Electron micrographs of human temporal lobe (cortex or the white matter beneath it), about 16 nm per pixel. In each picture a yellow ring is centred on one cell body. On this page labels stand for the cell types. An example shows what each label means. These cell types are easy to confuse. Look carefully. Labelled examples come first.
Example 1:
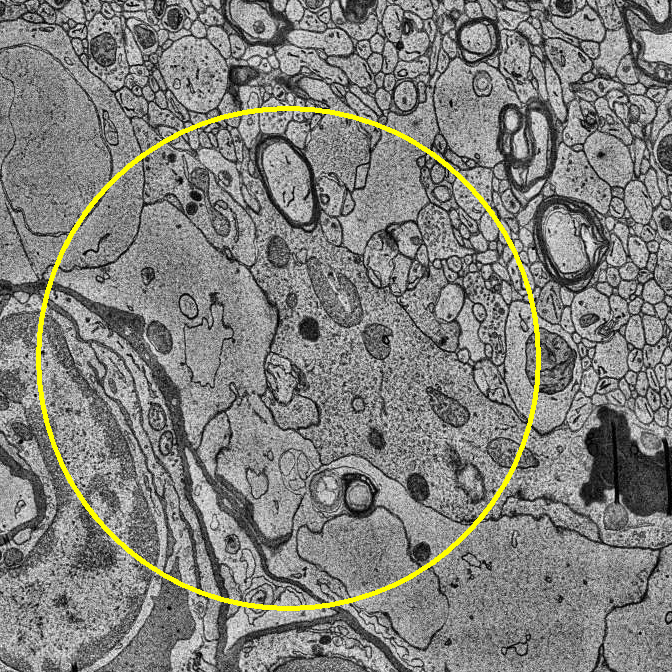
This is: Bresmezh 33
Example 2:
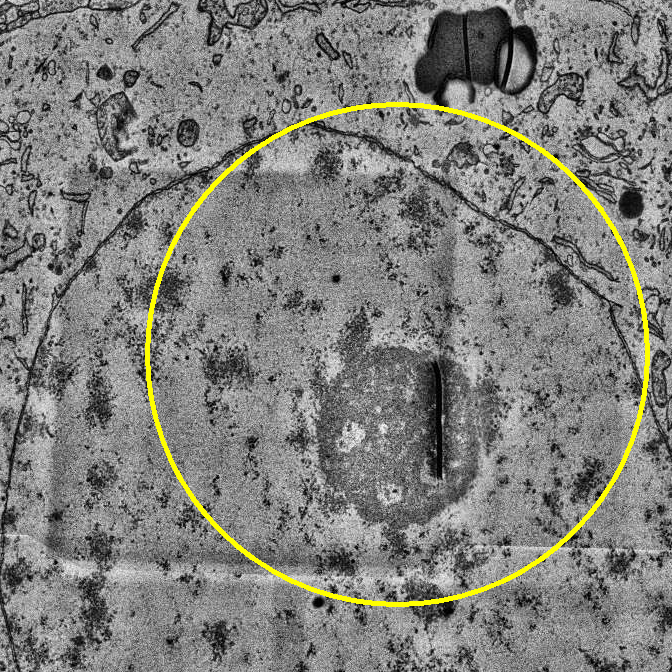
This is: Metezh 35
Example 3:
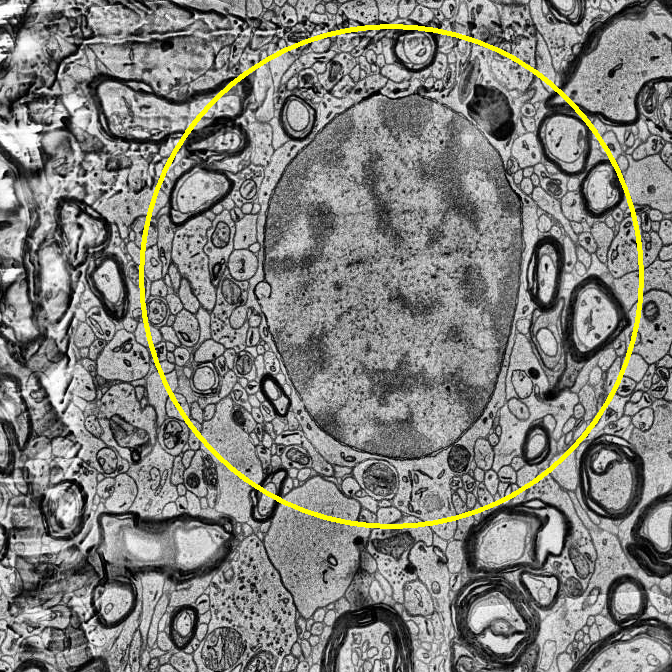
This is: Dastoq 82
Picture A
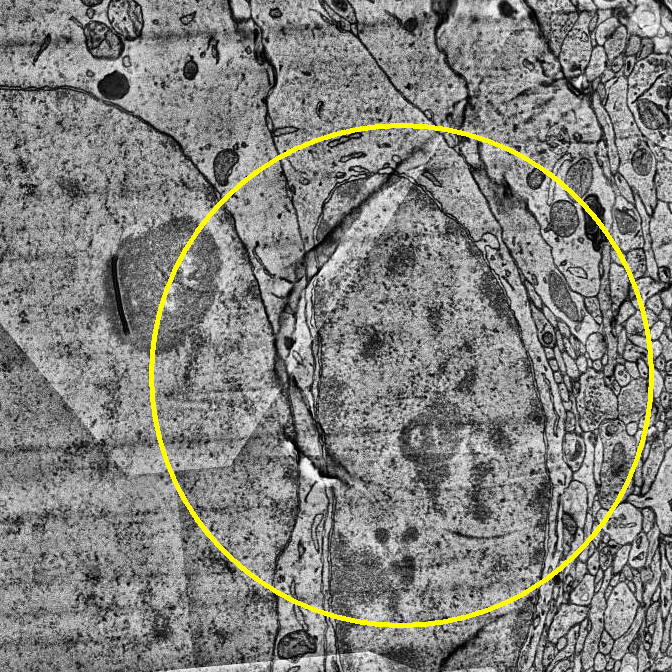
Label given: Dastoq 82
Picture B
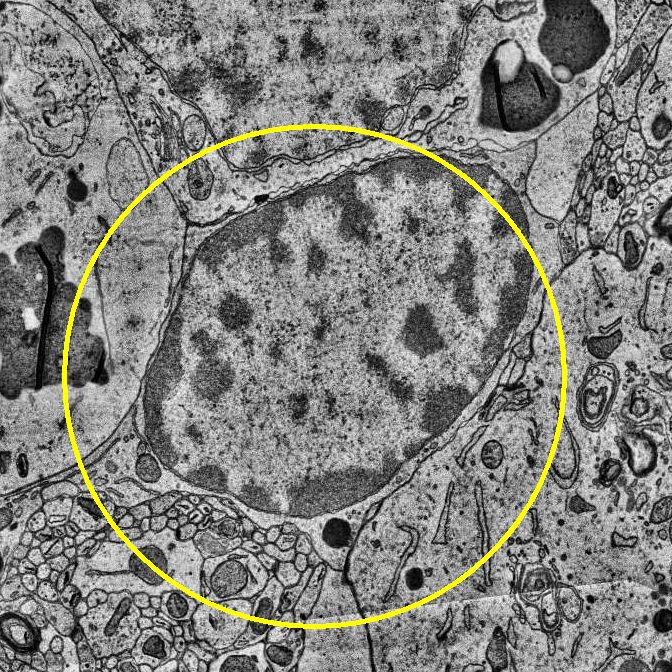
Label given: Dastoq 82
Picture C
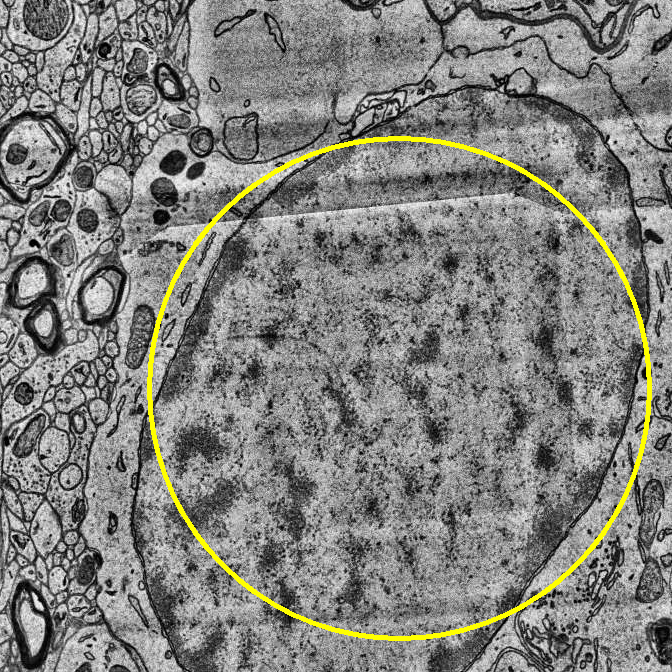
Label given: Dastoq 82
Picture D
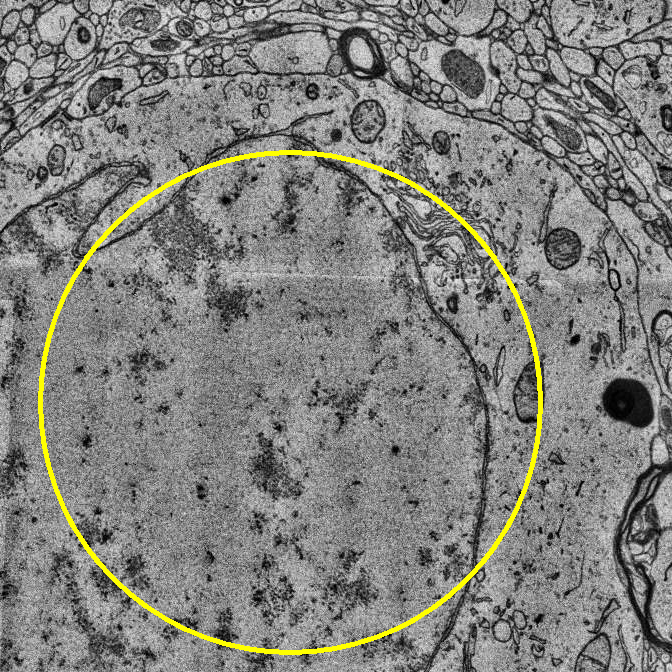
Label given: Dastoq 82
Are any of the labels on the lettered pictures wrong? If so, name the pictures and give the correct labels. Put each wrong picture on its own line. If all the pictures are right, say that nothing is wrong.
D: Metezh 35, not Dastoq 82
